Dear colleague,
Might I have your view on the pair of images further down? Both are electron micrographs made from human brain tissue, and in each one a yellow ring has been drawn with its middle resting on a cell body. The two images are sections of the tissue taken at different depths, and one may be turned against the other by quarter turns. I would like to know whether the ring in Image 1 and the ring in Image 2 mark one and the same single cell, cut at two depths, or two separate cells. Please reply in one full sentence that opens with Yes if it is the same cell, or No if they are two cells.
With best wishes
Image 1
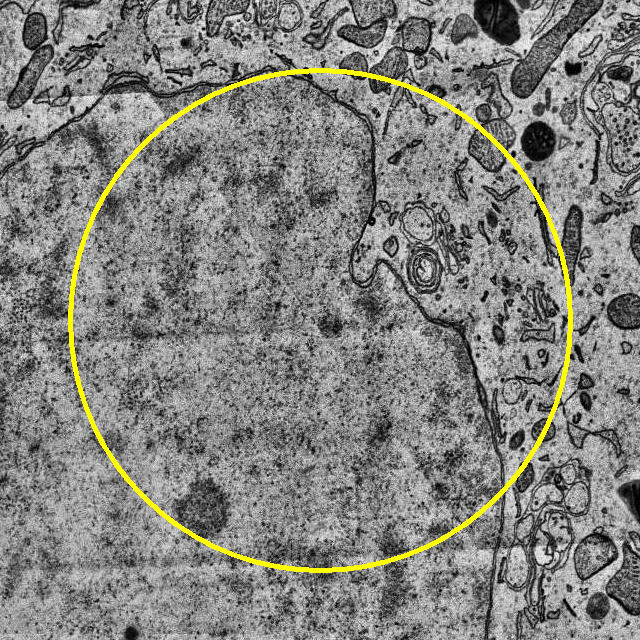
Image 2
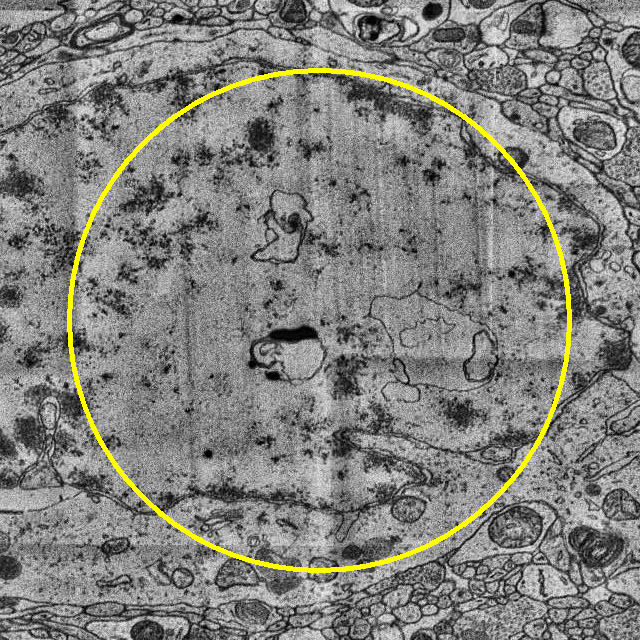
No, each of the two rings holds a different cell.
